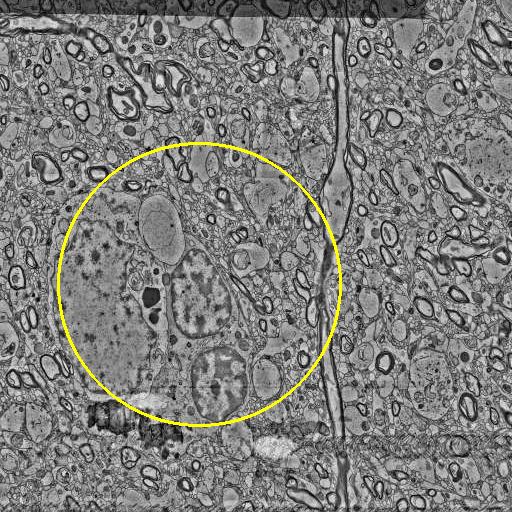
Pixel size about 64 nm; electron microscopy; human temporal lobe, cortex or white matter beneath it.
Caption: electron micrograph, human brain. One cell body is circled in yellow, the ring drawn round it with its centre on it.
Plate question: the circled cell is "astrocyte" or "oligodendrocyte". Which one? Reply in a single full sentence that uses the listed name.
The yellow ring on the plate is centred on an oligodendrocyte, going by the listed names.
